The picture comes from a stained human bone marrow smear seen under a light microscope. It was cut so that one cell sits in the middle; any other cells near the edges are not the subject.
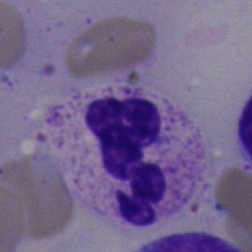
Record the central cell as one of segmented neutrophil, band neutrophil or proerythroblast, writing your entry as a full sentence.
The centrally placed cell is classified as a segmented neutrophil.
